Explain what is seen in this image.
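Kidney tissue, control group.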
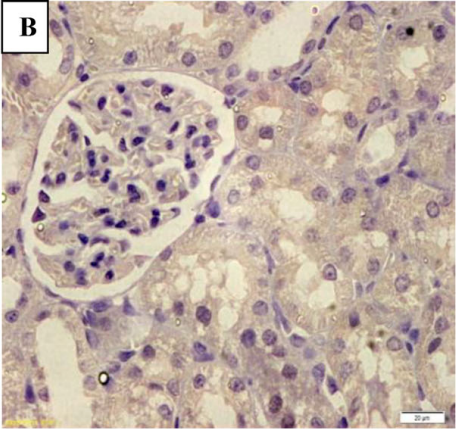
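Renal cortex with a glomerulus inside a thin Bowman's capsule, surrounded by tubules lined by cuboidal epithelial cells with round blue nuclei. The glomerular tuft holds many small dark blue nuclei, and the tubular cytoplasm is pale and granular. No brown staining is seen in tubules or glomerulus.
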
